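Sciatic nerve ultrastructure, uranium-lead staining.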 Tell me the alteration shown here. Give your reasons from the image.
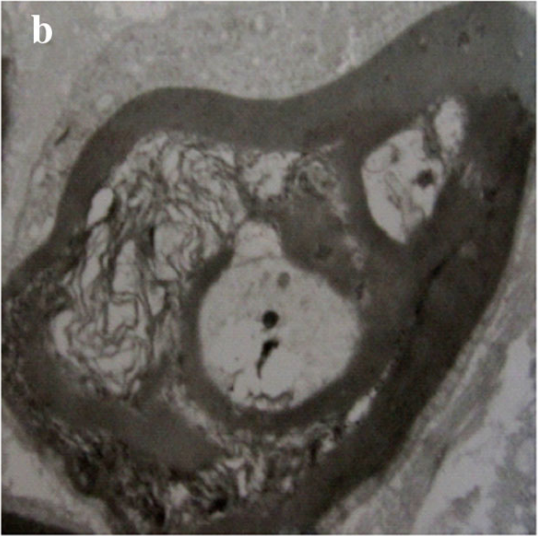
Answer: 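The dark sheath is folded into loops enclosing several pale pockets. Large areas inside the sheath are filled with loose, wavy, split lamellae. The sheath outline is irregular rather than a smooth ring.
Hence: disrupted and convoluted myelin sheaths.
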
